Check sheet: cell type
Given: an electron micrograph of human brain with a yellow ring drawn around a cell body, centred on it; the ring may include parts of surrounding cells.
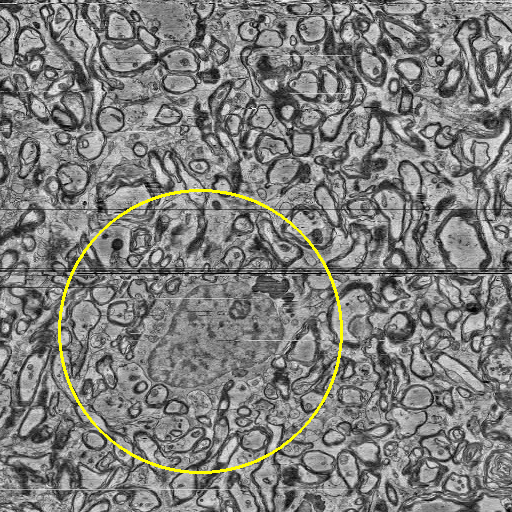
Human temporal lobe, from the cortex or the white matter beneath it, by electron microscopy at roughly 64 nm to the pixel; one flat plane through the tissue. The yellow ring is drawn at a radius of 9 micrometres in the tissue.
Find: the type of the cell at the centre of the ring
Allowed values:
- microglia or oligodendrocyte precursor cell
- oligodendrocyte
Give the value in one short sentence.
Here the ringed cell is an oligodendrocyte.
